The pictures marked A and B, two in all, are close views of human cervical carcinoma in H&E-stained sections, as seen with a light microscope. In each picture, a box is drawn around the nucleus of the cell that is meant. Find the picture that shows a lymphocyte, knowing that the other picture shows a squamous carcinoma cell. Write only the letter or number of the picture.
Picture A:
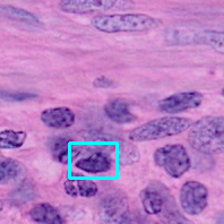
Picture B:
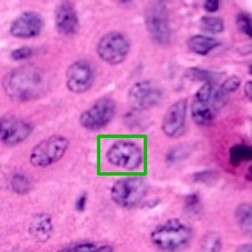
A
